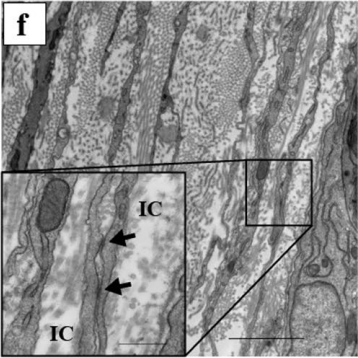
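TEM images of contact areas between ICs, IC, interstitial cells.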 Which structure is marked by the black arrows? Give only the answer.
Electron-dense lines.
